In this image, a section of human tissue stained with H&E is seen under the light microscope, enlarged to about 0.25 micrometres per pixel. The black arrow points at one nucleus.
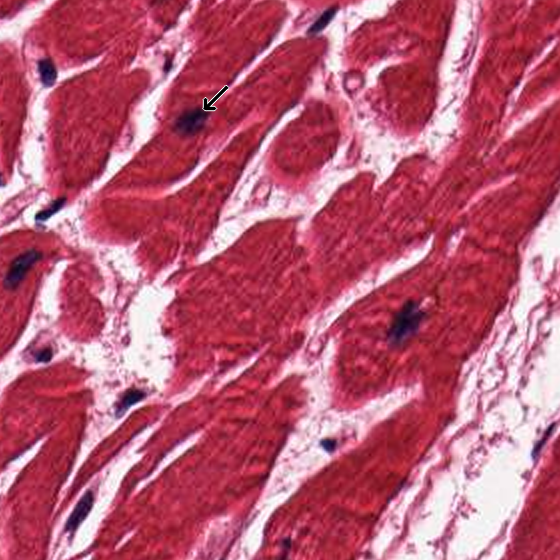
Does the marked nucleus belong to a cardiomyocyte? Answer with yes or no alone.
yes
